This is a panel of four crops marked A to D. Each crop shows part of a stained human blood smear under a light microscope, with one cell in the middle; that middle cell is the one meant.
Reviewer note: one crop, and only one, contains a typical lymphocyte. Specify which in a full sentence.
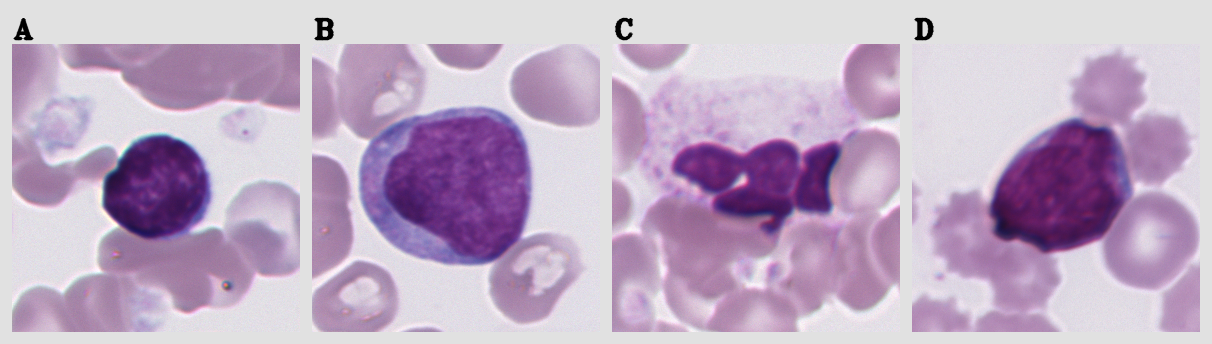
Crop A is the one in the set with a typical lymphocyte at the center.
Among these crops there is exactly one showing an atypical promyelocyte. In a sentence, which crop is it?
The sole crop showing an atypical promyelocyte is crop B.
